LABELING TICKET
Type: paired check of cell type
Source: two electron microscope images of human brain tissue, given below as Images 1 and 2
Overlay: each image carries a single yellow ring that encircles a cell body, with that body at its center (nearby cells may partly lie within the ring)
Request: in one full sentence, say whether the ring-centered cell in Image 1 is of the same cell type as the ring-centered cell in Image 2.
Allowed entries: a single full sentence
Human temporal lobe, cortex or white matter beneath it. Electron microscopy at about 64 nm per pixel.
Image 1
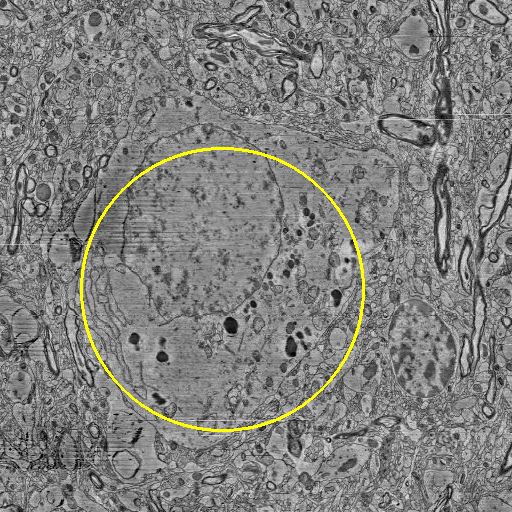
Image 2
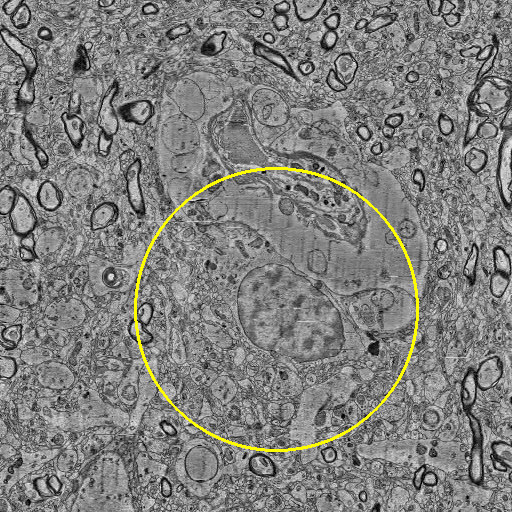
No, the cells centered in the rings of Image 1 and Image 2 are of two types.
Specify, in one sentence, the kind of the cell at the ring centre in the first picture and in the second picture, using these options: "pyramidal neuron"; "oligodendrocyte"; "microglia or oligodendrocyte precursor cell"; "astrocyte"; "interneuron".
So the first is an interneuron, the second an oligodendrocyte.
